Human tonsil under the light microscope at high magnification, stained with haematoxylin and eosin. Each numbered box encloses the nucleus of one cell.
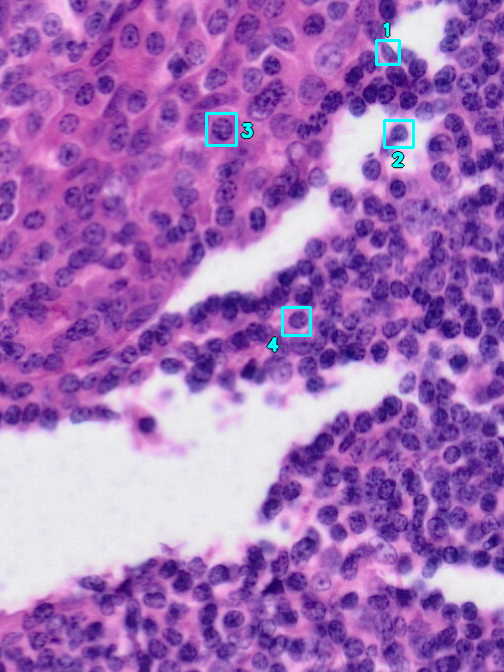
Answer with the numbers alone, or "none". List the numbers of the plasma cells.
3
